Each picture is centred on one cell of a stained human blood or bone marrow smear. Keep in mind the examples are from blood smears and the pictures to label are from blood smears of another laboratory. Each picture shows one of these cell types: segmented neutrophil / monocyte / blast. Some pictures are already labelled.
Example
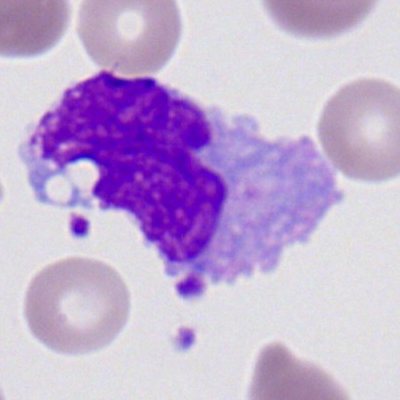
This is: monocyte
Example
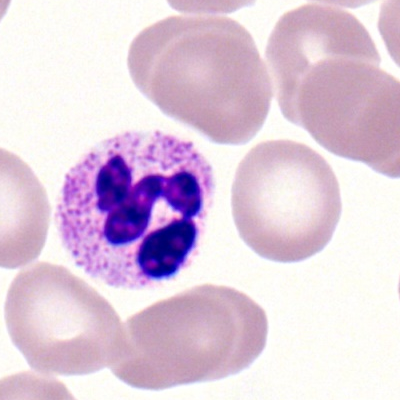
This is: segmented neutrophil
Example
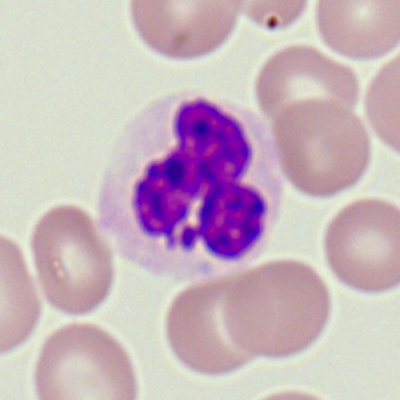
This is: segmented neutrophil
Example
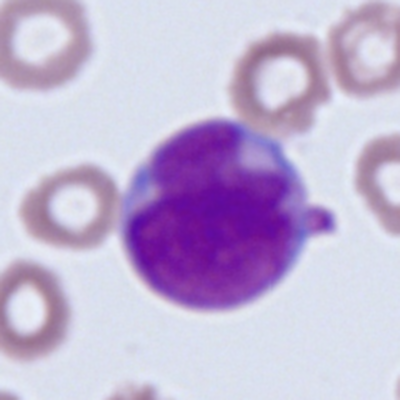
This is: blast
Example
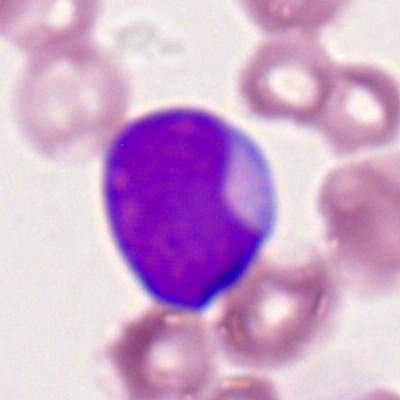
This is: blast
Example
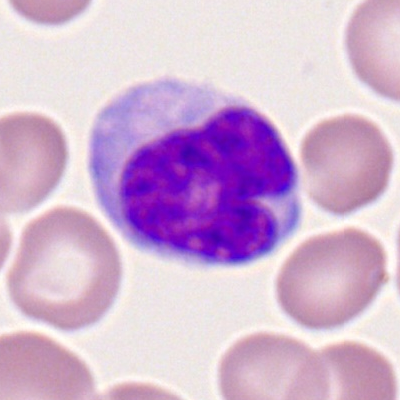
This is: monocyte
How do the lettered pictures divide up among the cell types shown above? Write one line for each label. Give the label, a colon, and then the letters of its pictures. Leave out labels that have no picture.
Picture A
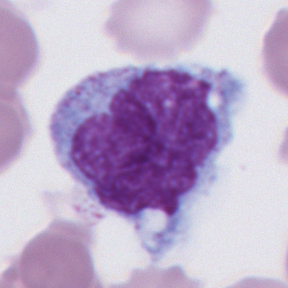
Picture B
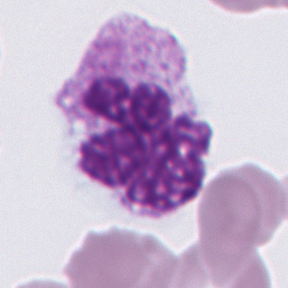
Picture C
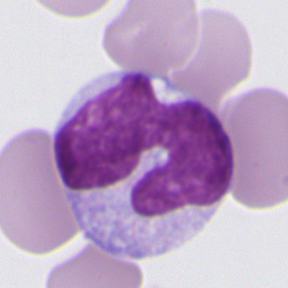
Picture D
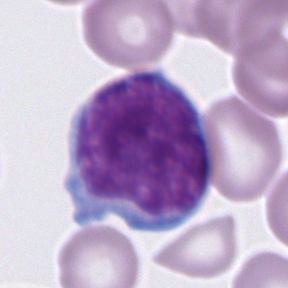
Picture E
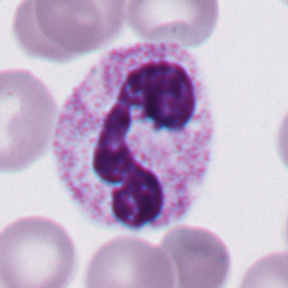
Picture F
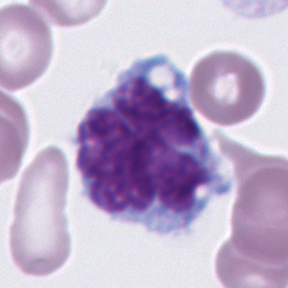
segmented neutrophil: B, E
monocyte: A, C, F
blast: D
